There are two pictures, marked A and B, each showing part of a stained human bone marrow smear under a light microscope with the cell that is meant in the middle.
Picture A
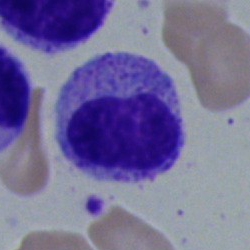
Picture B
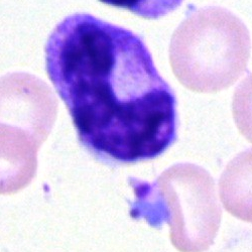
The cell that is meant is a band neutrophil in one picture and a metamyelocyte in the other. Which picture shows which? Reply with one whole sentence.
Picture A shows a metamyelocyte and picture B shows a band neutrophil.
